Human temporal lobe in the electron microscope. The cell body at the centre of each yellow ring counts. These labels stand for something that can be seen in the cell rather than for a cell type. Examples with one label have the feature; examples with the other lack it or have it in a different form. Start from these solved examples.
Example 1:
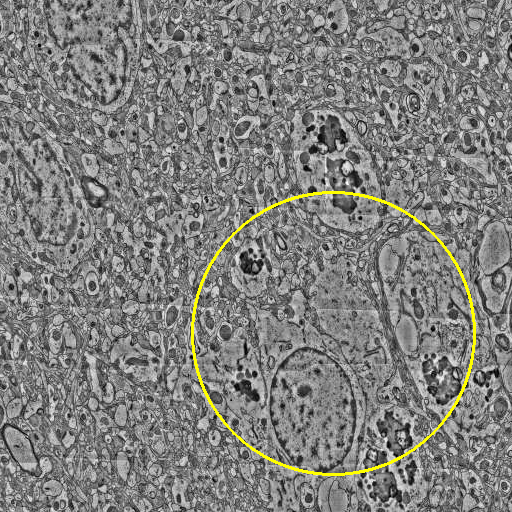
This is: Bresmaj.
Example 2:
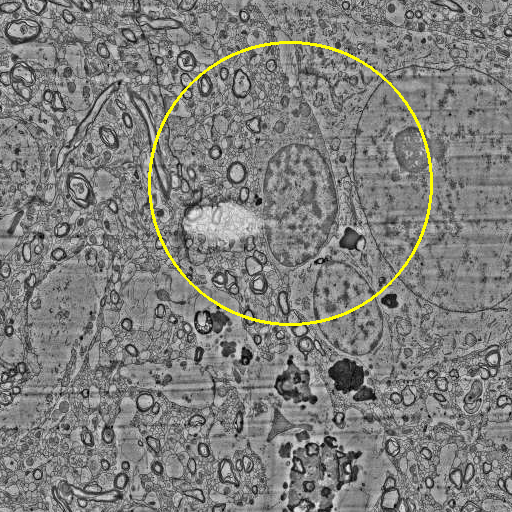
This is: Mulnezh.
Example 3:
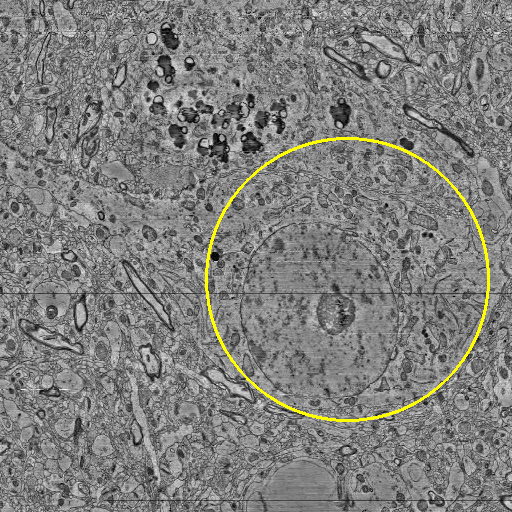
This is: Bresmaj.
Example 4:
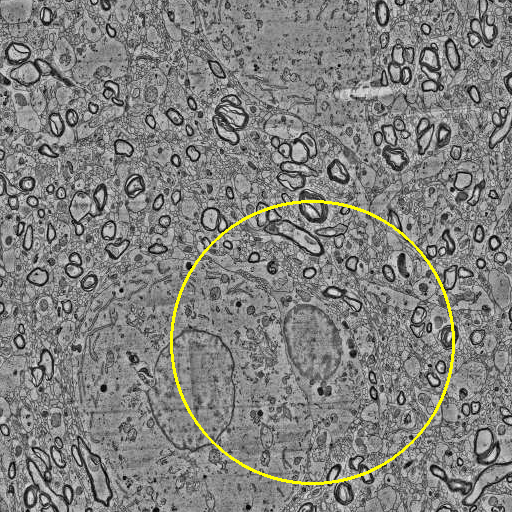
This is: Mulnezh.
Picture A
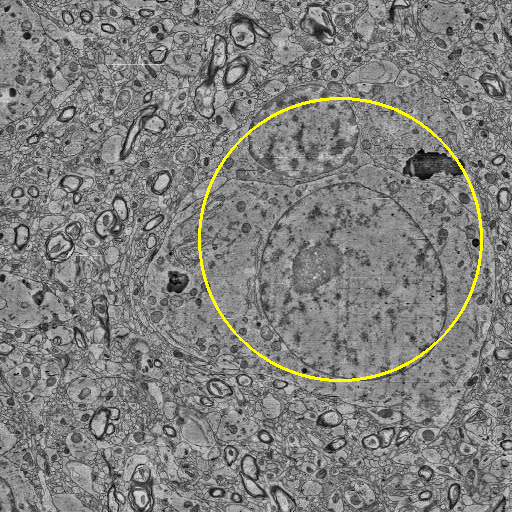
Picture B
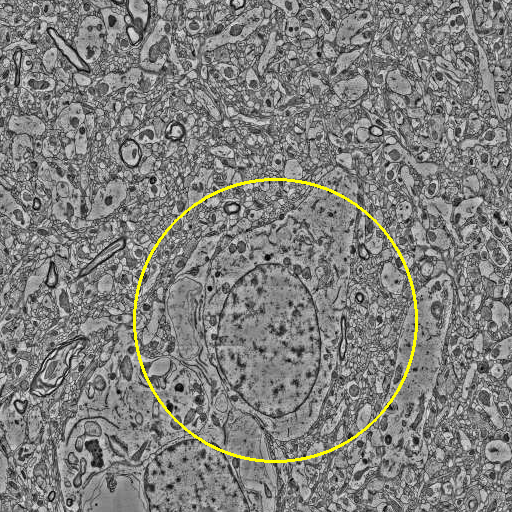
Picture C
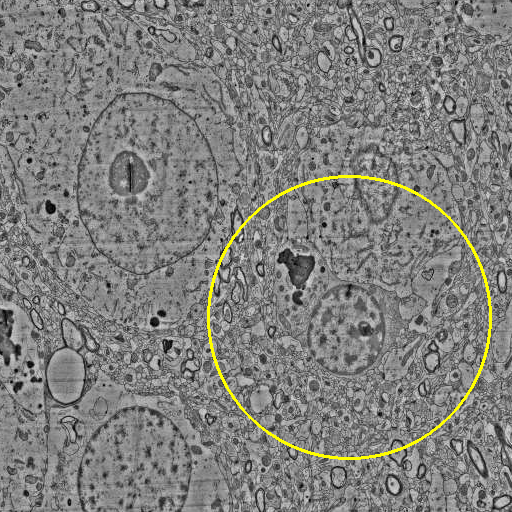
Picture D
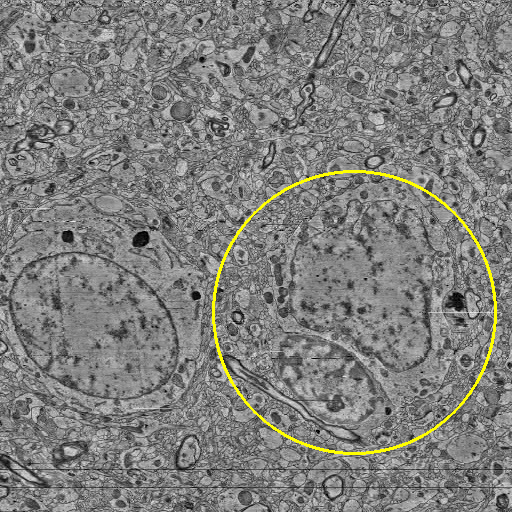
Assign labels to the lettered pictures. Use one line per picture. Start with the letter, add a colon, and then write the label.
A: Bresmaj.
B: Mulnezh.
C: Bresmaj.
D: Mulnezh.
